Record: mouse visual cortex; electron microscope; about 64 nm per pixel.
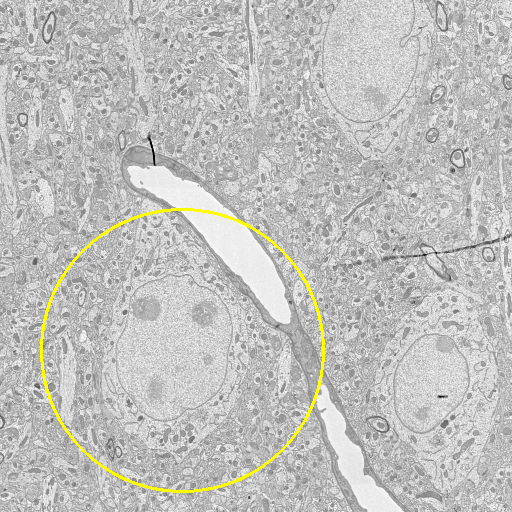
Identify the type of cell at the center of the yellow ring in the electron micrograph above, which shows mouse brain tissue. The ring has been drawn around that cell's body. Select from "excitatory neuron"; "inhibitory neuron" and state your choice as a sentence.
The yellow ring is centered on the body of an excitatory neuron.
